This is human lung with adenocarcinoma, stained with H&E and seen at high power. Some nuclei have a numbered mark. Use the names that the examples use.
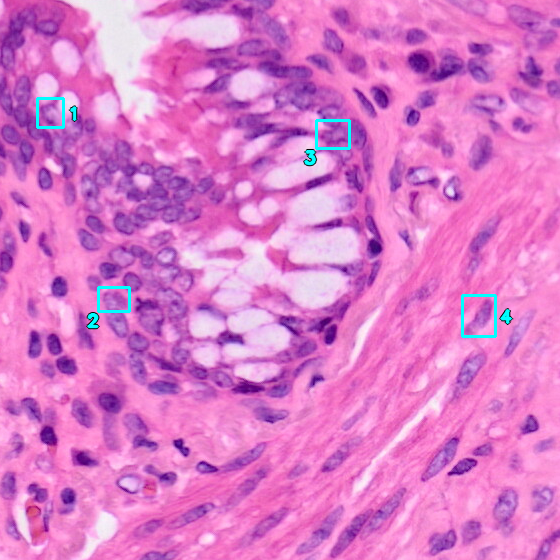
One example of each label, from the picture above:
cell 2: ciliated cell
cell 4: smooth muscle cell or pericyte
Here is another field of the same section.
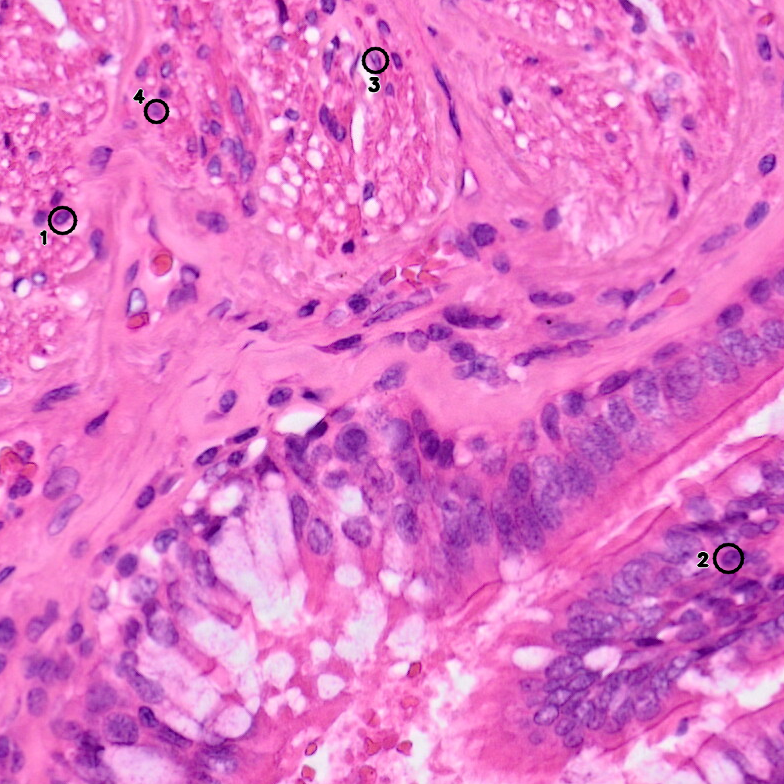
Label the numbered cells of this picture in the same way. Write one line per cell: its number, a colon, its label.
1: smooth muscle cell or pericyte
2: ciliated cell
3: smooth muscle cell or pericyte
4: smooth muscle cell or pericyte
